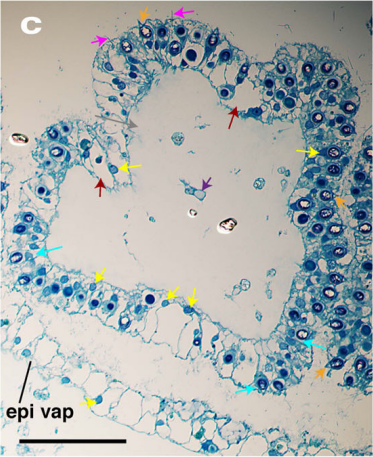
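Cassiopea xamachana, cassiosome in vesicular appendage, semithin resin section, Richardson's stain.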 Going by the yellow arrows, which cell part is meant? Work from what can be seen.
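The arrowed bodies are small round blue-stained structures at the inner side of the cell layer. The answer: nuclei.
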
